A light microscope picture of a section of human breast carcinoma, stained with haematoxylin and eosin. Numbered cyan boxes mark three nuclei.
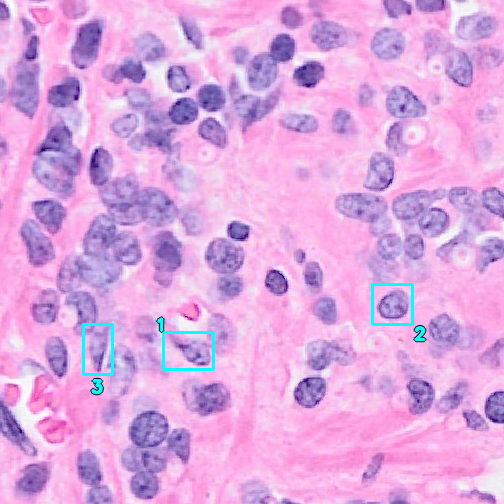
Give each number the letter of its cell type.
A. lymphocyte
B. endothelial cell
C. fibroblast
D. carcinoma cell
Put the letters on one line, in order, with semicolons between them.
B; D; B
